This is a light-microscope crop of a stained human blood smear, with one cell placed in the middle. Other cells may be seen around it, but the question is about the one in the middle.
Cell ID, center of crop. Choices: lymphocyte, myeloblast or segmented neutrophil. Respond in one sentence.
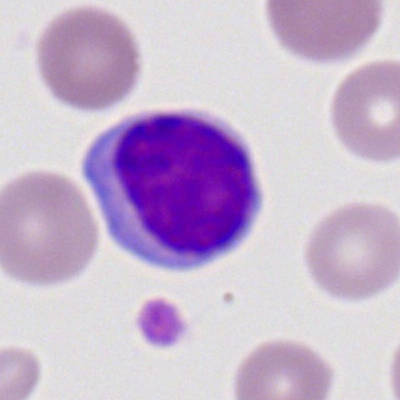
Centred in the crop is a lymphocyte.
